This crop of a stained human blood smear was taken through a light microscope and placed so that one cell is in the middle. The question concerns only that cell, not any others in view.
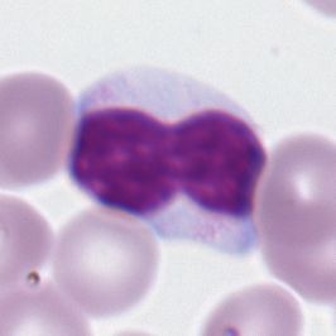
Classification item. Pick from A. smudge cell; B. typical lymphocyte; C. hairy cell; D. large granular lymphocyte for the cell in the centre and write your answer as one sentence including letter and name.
Since the cell in the middle is a large granular lymphocyte, option D is correct.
